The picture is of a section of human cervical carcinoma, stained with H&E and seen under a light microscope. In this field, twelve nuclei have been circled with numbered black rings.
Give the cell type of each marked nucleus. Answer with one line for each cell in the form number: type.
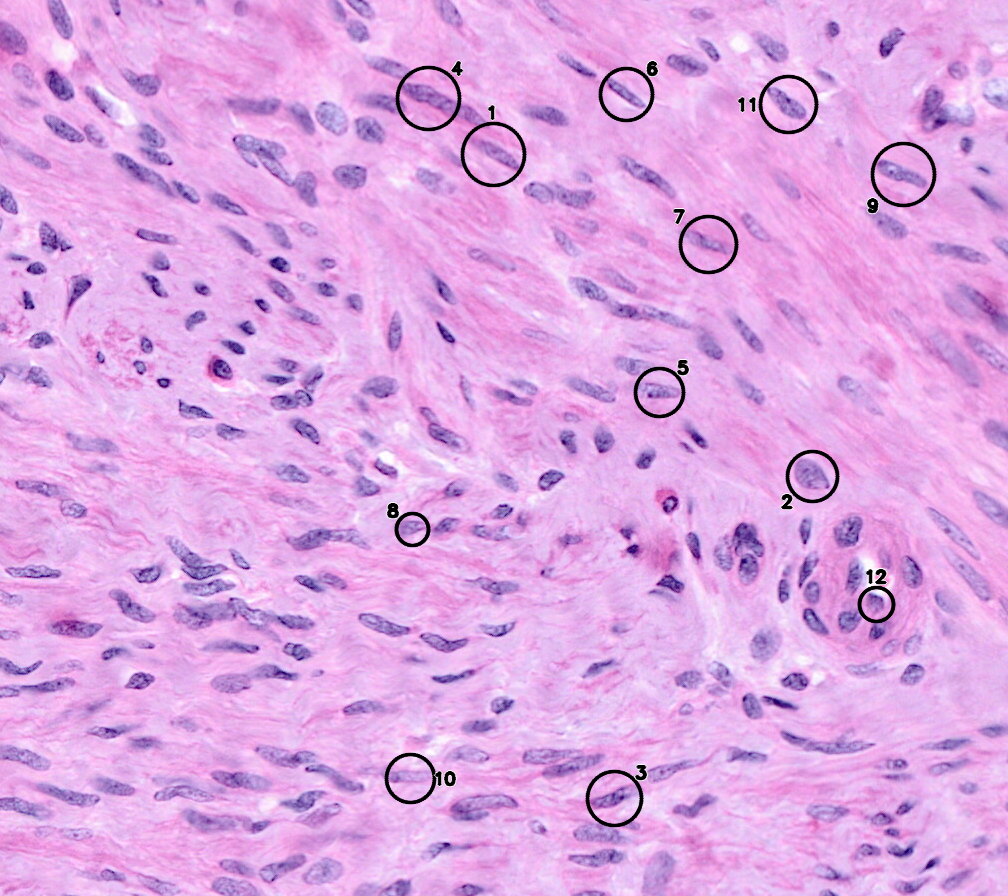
1: smooth muscle cell
2: fibroblast
3: smooth muscle cell
4: smooth muscle cell
5: smooth muscle cell
6: fibroblast
7: smooth muscle cell
8: smooth muscle cell
9: fibroblast
10: smooth muscle cell
11: fibroblast
12: endothelial cell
